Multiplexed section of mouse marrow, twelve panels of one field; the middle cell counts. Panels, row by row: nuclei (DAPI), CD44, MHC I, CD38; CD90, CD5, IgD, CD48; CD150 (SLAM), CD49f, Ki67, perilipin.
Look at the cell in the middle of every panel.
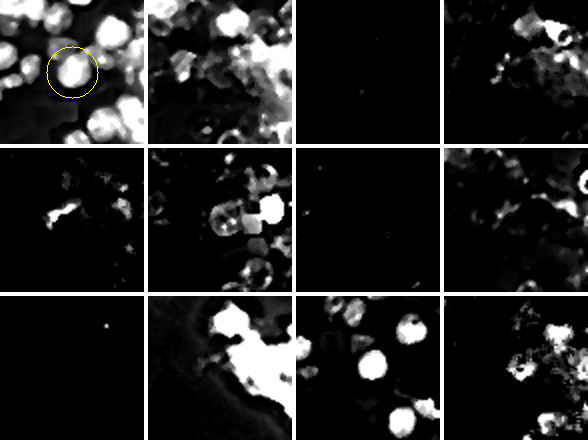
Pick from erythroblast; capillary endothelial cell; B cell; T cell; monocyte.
erythroblast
